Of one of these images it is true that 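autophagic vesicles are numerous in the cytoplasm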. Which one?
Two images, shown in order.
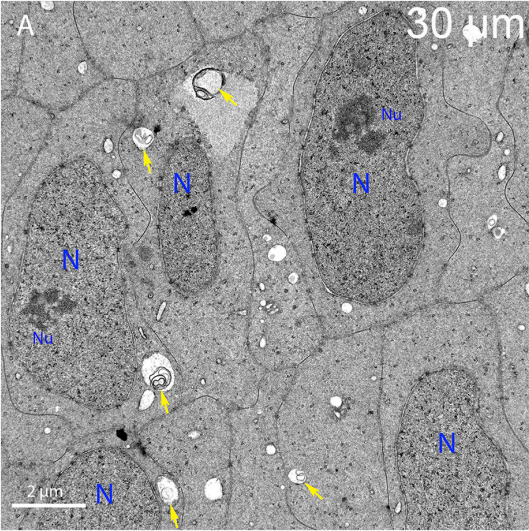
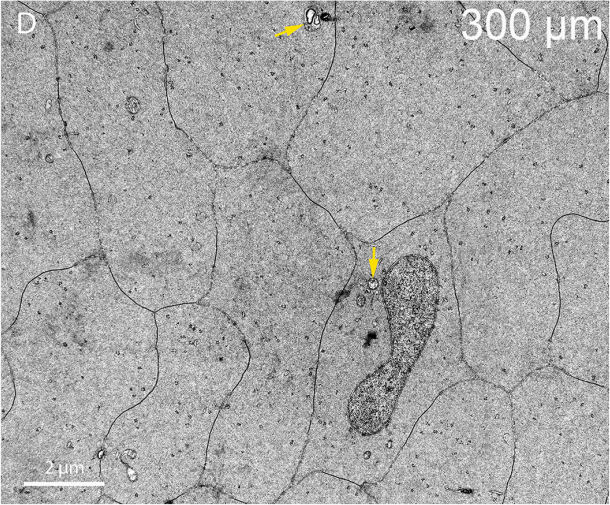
The first image.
